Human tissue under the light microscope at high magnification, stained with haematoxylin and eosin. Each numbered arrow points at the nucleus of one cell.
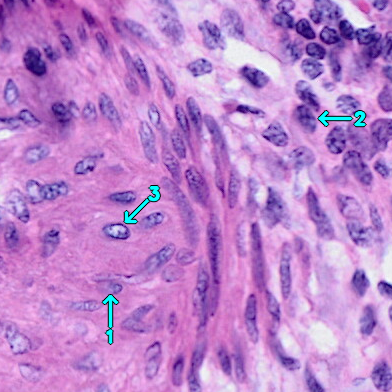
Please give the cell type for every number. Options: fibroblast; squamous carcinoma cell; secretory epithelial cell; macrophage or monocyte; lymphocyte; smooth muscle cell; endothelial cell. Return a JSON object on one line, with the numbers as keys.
{"1": "smooth muscle cell", "2": "lymphocyte", "3": "smooth muscle cell"}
